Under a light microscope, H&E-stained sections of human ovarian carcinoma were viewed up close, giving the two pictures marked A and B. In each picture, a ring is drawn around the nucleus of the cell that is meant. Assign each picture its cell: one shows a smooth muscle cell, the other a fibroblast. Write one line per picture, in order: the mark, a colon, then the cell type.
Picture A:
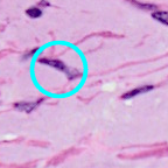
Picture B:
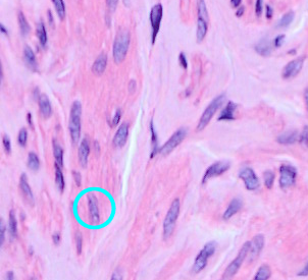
A: fibroblast
B: smooth muscle cell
